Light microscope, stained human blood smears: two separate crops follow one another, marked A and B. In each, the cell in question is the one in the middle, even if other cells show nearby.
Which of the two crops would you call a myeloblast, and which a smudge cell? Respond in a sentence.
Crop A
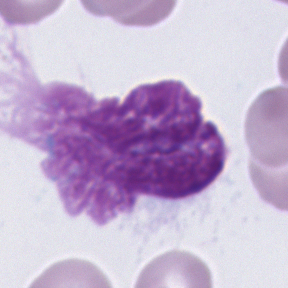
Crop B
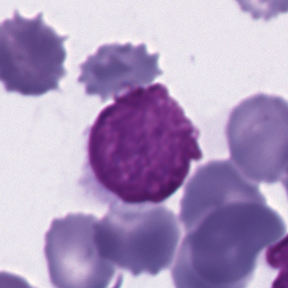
Respectively, crops A and B show a smudge cell and a myeloblast.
